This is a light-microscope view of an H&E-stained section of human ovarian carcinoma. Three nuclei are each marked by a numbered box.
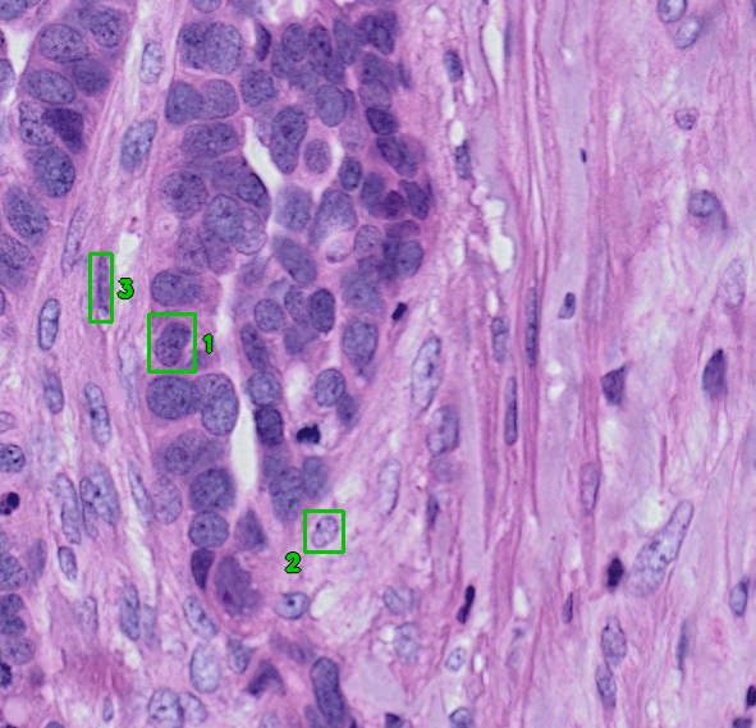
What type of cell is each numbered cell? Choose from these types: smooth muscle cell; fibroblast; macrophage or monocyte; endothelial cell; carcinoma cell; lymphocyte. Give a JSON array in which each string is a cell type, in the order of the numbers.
["carcinoma cell", "macrophage or monocyte", "fibroblast"]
